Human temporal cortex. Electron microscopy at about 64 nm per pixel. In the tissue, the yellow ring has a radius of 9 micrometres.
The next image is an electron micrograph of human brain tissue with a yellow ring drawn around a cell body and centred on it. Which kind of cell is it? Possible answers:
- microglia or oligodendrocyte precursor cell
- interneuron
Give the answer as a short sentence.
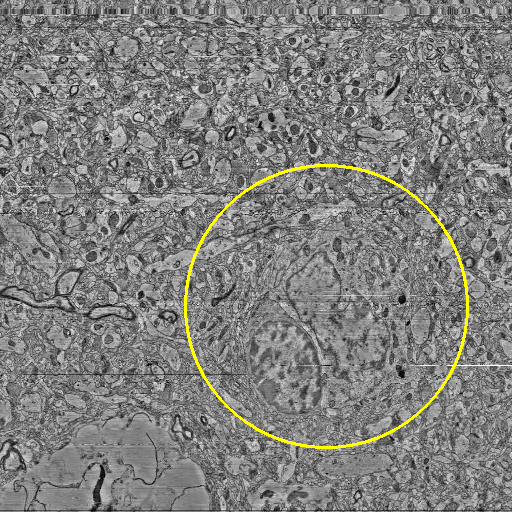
In the ring's centre is an interneuron.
